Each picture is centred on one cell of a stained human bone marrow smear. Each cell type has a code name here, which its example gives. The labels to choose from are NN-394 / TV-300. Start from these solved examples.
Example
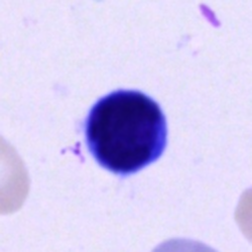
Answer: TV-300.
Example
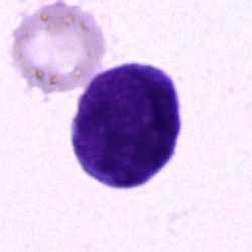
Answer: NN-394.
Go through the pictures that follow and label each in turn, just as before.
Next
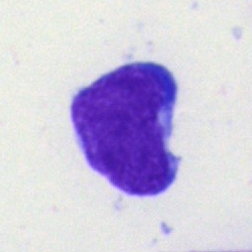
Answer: NN-394.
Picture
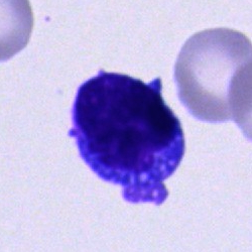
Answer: NN-394.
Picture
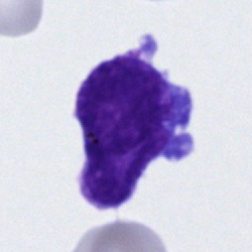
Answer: NN-394.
